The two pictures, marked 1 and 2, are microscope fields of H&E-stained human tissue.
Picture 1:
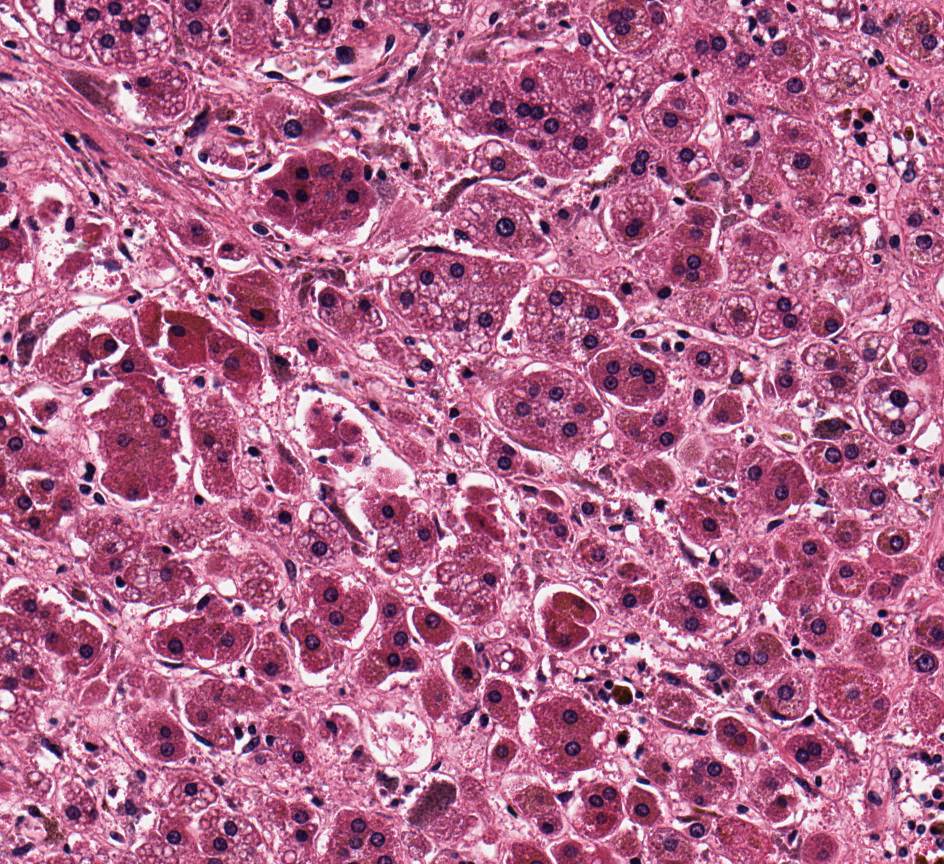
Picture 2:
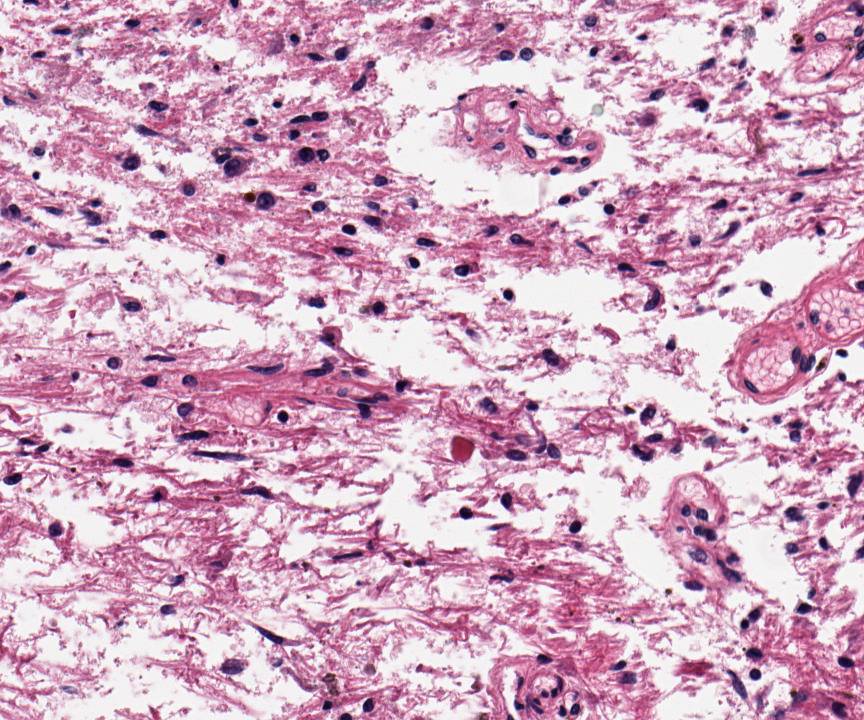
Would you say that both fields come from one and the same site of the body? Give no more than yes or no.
no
